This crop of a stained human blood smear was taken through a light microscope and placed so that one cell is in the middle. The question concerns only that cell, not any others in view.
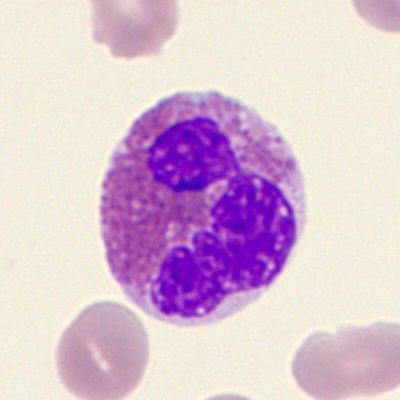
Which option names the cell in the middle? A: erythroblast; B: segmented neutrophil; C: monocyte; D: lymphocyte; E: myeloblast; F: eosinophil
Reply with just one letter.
F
